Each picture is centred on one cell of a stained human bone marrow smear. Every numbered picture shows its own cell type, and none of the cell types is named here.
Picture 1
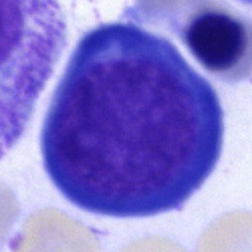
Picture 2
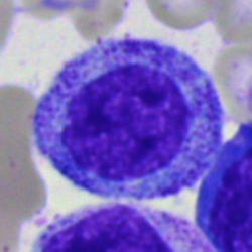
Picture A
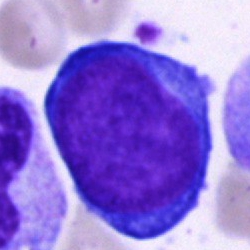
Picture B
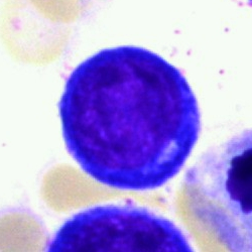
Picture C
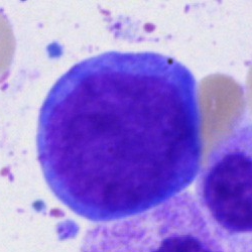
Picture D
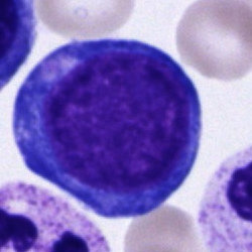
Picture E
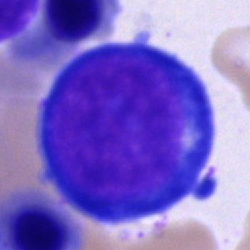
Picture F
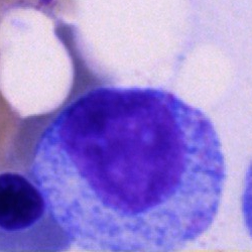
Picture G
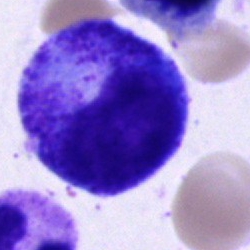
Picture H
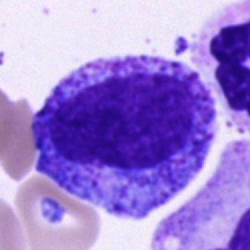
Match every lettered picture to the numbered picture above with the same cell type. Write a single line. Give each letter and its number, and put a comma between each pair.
A 1, B 1, C 1, D 1, E 1, F 2, G 2, H 2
